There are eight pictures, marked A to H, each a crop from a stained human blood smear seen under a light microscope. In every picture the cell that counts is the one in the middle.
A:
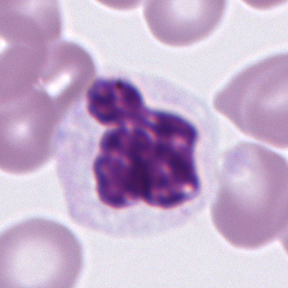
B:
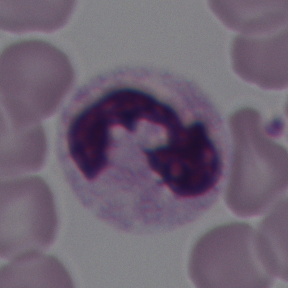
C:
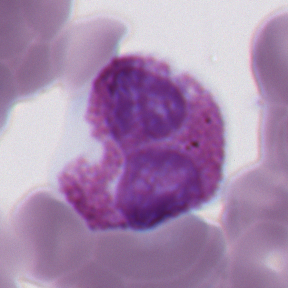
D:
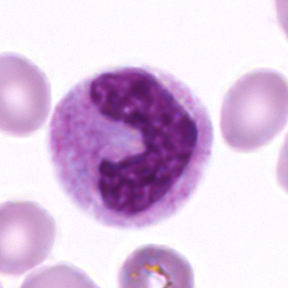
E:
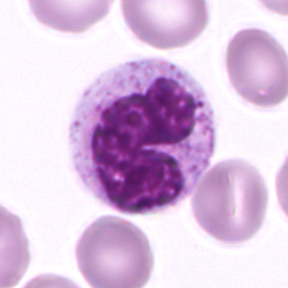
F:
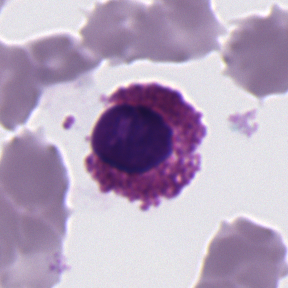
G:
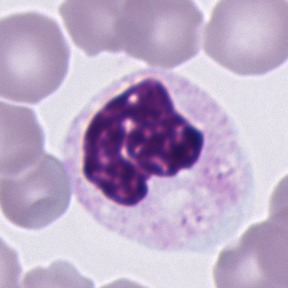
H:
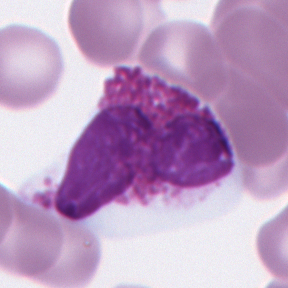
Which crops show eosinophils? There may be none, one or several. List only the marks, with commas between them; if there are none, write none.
C, F, H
